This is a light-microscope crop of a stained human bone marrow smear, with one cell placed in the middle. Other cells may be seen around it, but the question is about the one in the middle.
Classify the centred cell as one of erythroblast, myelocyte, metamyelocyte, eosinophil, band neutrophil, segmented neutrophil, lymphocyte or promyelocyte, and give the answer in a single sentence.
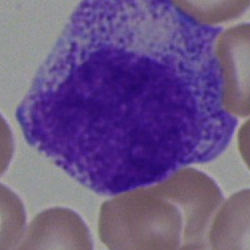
To answer, the cell in the center of the crop is a myelocyte.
